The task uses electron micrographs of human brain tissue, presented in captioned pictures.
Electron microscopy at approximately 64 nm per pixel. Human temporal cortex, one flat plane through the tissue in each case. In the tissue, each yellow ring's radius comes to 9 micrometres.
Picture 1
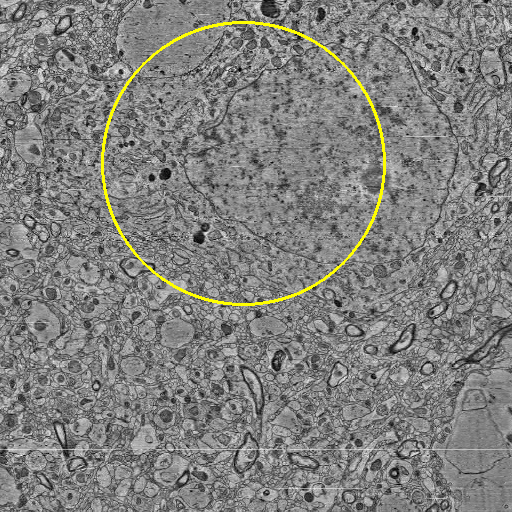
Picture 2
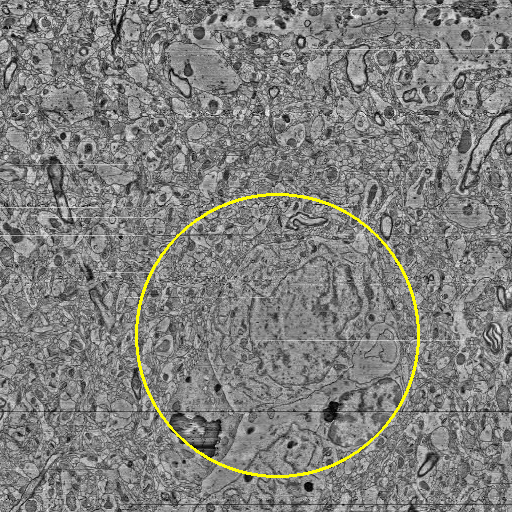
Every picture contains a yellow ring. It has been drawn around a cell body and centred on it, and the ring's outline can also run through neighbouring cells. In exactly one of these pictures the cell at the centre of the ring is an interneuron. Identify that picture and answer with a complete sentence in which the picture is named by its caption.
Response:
The ring in Picture 2 is centred on that kind of cell.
